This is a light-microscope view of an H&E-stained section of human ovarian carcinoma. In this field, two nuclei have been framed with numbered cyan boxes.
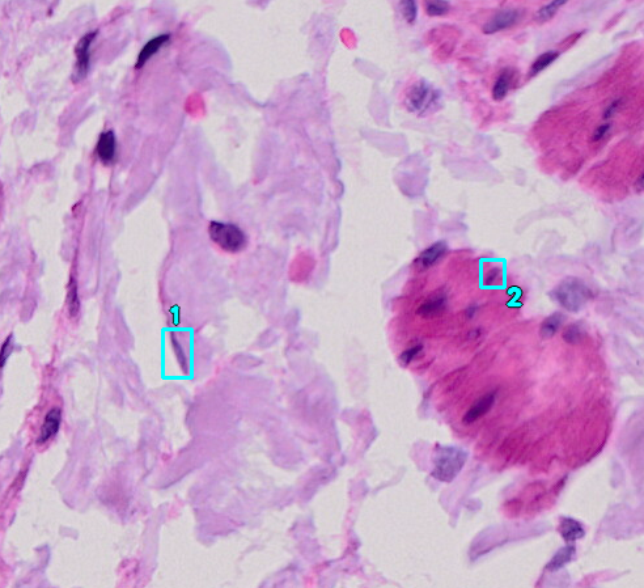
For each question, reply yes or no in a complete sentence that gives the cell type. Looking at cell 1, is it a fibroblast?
Yes, the cell shown as number 1 is a fibroblast.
